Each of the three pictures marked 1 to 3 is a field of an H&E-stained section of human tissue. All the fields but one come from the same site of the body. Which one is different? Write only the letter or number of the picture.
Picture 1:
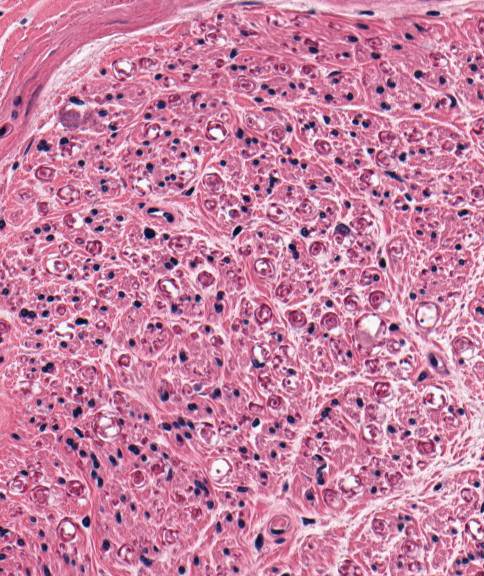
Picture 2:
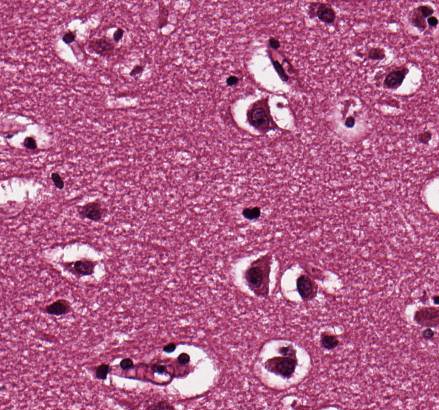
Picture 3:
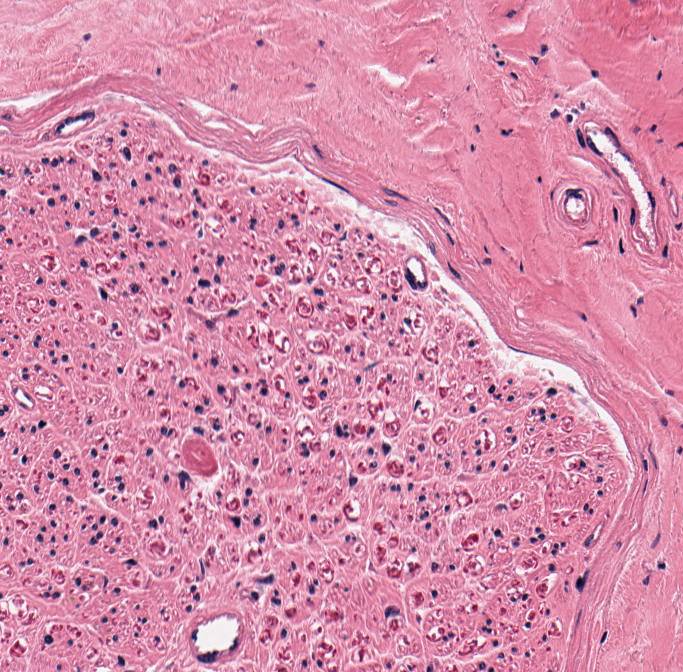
2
